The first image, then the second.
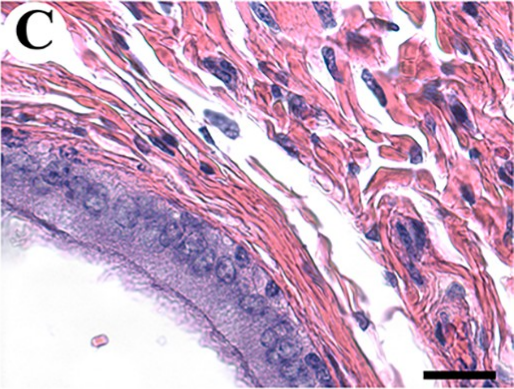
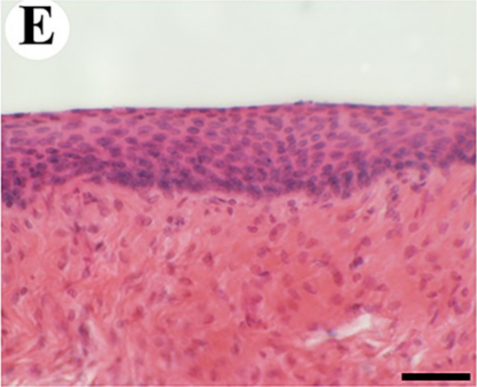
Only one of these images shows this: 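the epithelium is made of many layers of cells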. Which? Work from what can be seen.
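Second image: the surface epithelium is many cell layers thick. First image: the lining is a single row of tall cells.
Answer: the second image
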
